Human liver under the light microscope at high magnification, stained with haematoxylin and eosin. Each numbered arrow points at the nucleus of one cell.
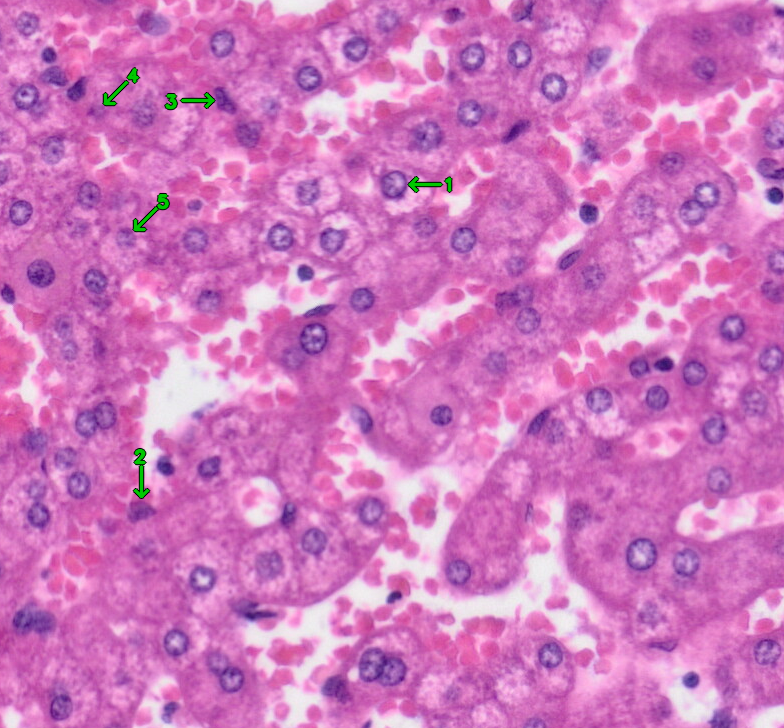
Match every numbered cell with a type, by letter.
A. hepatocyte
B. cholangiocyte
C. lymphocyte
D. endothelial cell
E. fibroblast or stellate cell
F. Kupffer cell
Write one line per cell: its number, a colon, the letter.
1: A
2: D
3: E
4: A
5: A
